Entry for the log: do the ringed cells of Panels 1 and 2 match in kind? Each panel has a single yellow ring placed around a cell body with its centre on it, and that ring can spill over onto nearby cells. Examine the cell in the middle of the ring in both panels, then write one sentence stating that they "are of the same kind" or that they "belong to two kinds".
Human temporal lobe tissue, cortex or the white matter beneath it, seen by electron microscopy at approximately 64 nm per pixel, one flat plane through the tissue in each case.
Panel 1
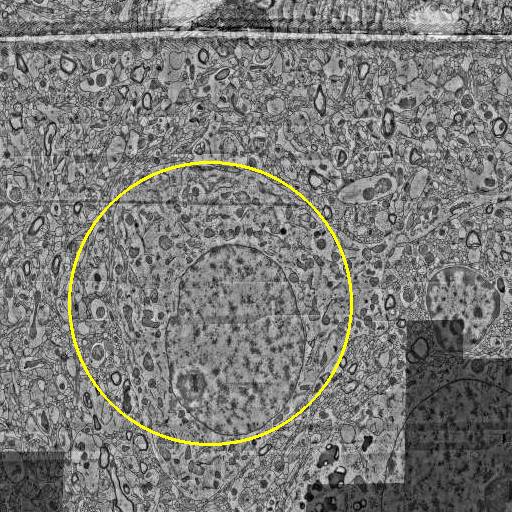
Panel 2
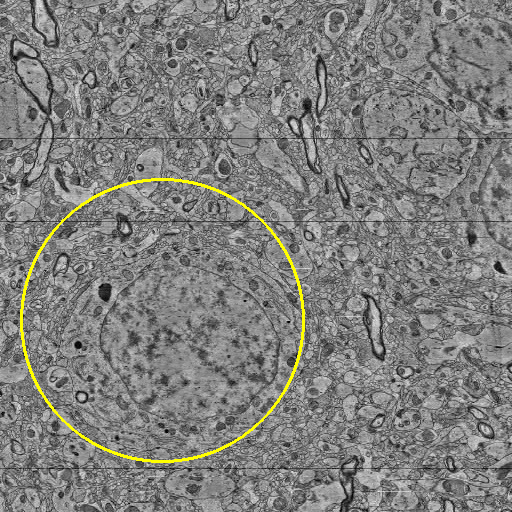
The centre cell of Panel 1's ring and that of Panel 2's ring are of the same kind.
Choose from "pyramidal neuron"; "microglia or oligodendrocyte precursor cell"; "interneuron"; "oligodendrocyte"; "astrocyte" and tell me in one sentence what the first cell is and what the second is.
Each of the ringed cells, first and second, is an interneuron.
